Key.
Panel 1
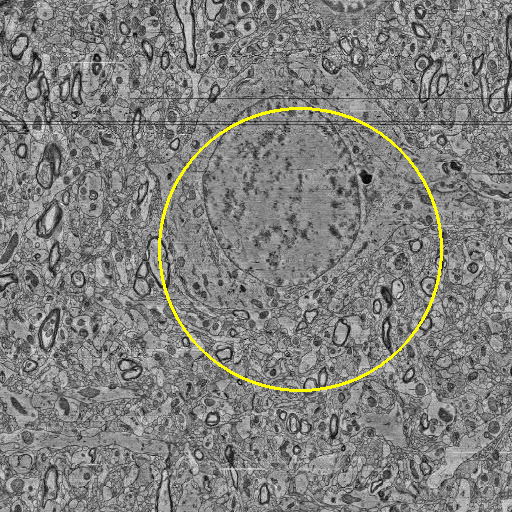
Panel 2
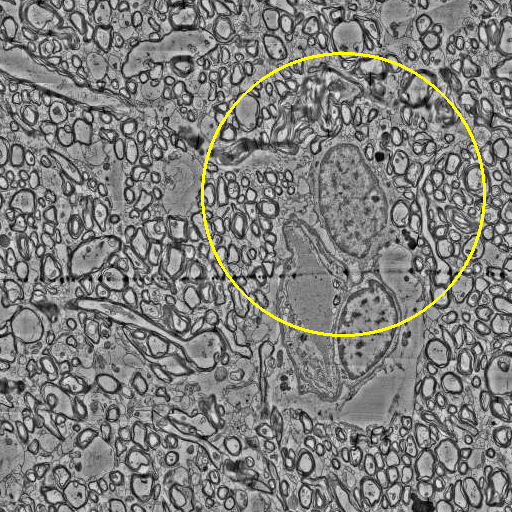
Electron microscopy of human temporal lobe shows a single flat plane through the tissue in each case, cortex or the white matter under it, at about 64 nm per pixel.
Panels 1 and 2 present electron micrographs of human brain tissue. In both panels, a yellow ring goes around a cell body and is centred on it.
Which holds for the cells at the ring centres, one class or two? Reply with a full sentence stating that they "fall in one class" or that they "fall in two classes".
Taken together, the ring-centre cells of the two panels fall in two classes.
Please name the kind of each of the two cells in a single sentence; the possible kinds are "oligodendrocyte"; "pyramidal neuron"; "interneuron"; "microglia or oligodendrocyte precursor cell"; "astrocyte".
In the first picture the ring is centred on a pyramidal neuron, and in the second on an oligodendrocyte.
